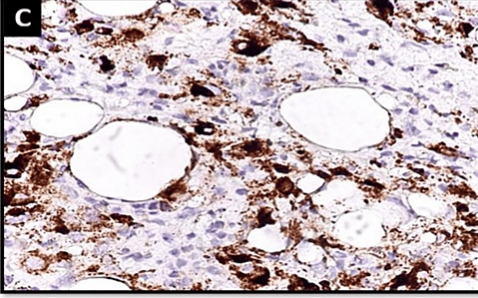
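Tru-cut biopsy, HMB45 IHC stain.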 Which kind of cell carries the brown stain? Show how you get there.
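Brown granular stain fills the cytoplasm of scattered plump rounded cells. Stained cells are patchy, between unstained cells and clear vacuoles.
Answer: epithelioid shaped tumor cells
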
